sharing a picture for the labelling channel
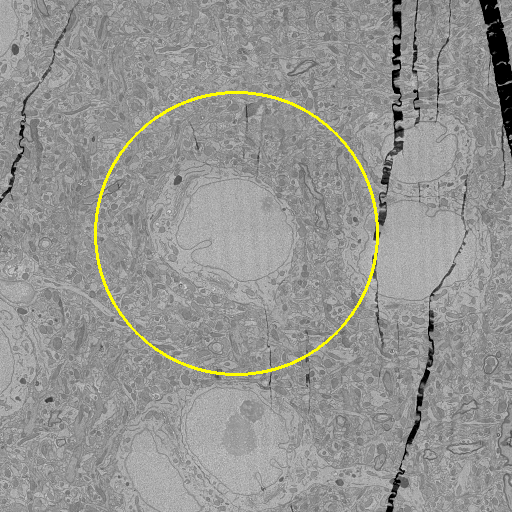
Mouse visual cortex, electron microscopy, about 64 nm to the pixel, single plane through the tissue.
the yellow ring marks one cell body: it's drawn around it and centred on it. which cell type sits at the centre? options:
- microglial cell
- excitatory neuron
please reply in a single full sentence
In the picture, the cell at the ring's centre is an excitatory neuron, going by the list.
